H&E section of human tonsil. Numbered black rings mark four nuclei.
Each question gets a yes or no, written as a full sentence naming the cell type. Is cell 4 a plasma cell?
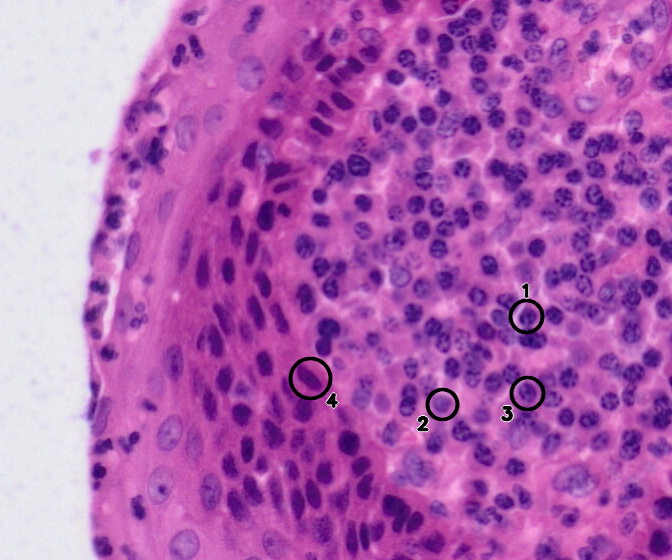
No, the marked cell 4 is not a plasma cell, being instead a squamous epithelial cell.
